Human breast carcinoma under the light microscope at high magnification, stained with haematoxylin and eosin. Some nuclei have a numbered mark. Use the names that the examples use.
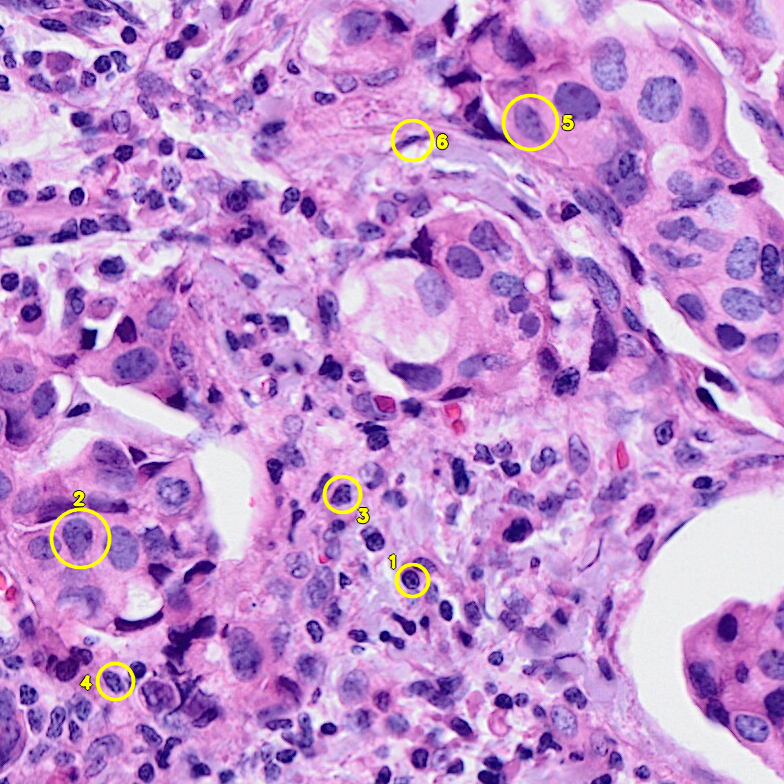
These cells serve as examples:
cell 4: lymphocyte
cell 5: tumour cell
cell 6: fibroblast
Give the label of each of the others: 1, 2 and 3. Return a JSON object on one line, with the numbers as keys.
{"1": "lymphocyte", "2": "tumour cell", "3": "lymphocyte"}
